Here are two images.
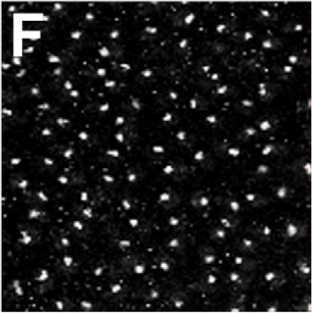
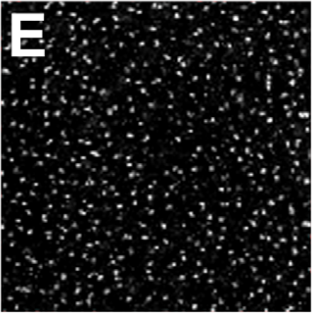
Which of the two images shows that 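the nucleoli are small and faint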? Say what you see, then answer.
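First image: bright, comparatively large dots spaced apart. Second image: tiny, dimmer dots packed closely.
Answer: the second image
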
